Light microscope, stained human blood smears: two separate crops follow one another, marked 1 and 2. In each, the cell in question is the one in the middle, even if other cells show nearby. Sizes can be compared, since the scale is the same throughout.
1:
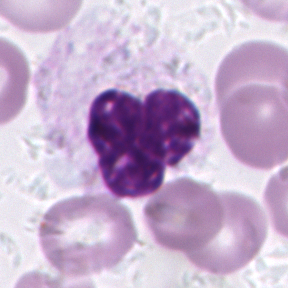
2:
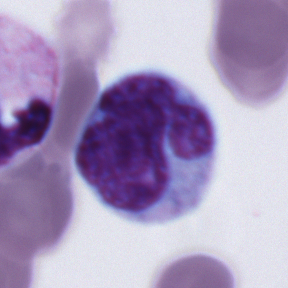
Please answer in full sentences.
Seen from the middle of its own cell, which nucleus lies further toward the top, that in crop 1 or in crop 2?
It is the nucleus in crop 2 that lies further toward the top of its cell.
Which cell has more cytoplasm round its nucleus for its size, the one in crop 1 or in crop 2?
Of the two, the nucleus in crop 1 leaves more room for cytoplasm.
